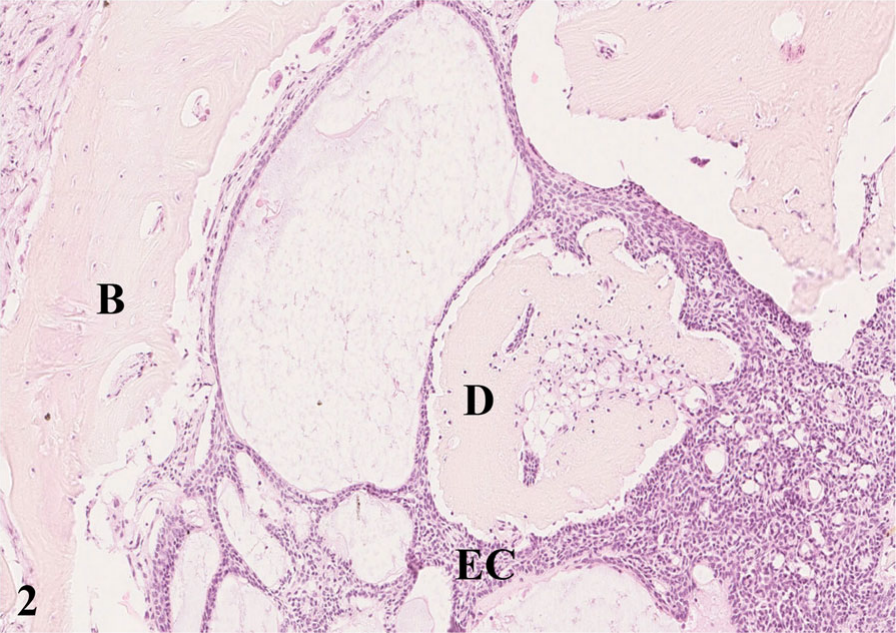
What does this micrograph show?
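Pink trabeculae of bone lie beside cords and islands of densely packed epithelial cells with dark purple nuclei, which are seen infiltrating between the bone. The epithelial strands encircle rounded islands of pale pink dentin-like hard matrix and large pale, amorphous, faintly eosinophilic areas. At the lower right the epithelial cells form a crowded sheet with many small clear spaces.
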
